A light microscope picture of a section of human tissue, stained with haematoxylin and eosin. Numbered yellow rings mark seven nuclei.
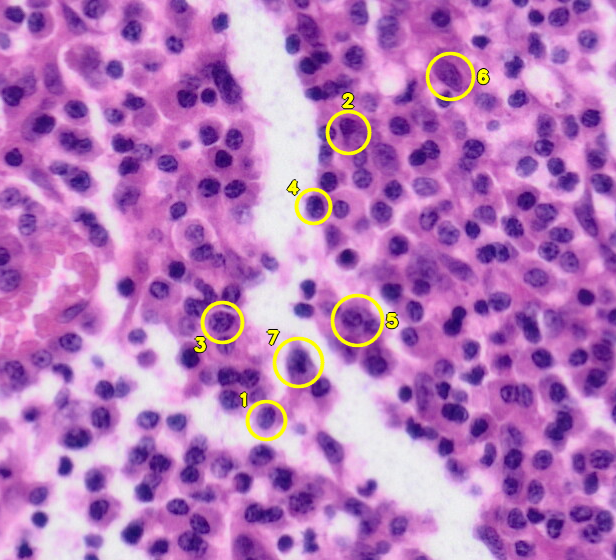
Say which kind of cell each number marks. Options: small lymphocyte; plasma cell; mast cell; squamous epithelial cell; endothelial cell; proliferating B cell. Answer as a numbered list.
1. plasma cell
2. squamous epithelial cell
3. plasma cell
4. plasma cell
5. squamous epithelial cell
6. squamous epithelial cell
7. squamous epithelial cell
